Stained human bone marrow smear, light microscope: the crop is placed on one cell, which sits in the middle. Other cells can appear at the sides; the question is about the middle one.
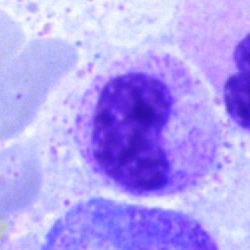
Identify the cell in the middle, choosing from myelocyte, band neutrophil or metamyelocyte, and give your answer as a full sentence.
Here the cell in the middle is a metamyelocyte.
